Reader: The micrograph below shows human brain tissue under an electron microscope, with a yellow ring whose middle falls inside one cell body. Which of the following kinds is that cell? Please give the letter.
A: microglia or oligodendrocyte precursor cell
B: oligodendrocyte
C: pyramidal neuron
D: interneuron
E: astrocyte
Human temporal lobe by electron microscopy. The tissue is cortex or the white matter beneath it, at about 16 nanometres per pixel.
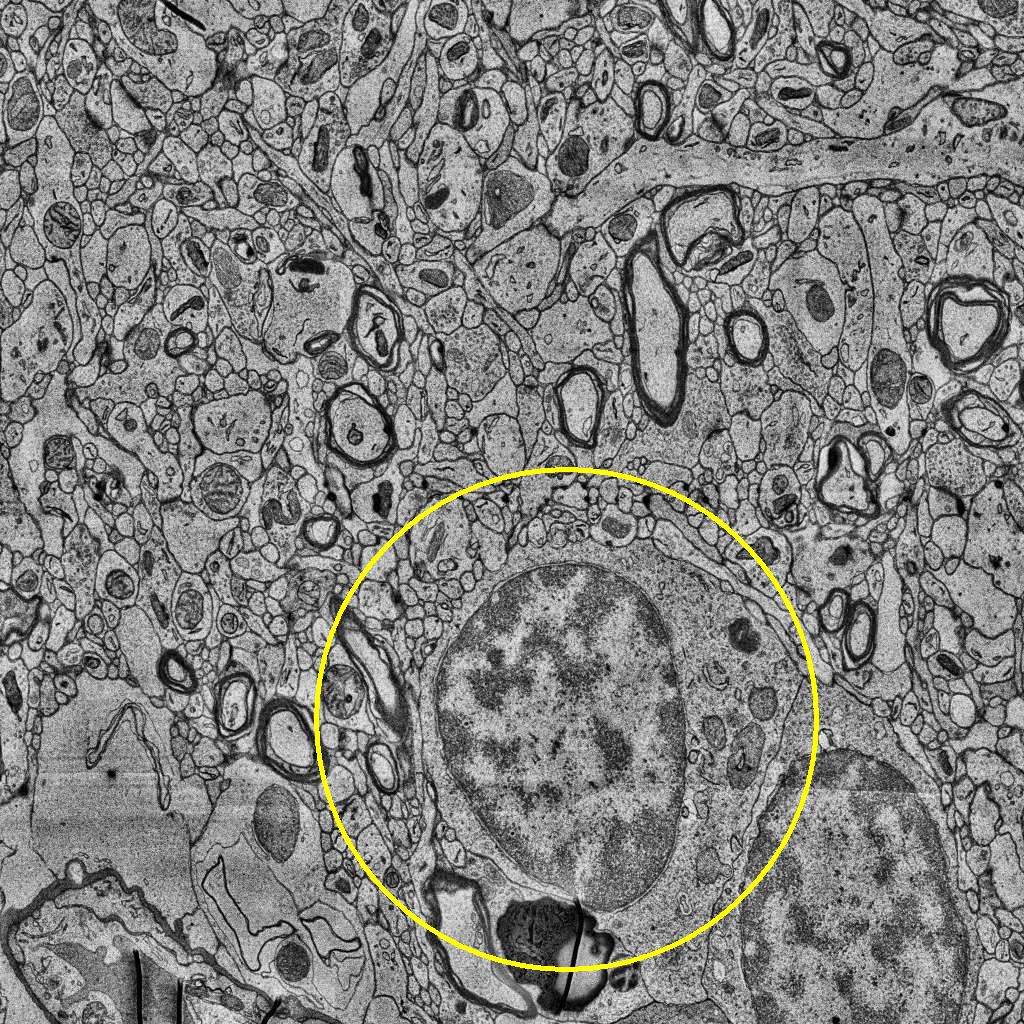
B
